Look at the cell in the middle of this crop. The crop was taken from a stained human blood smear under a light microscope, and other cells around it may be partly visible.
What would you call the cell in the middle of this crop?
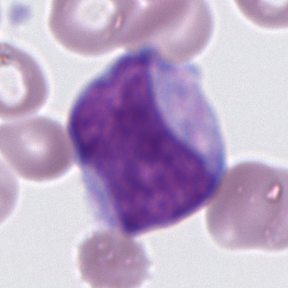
atypical promyelocyte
